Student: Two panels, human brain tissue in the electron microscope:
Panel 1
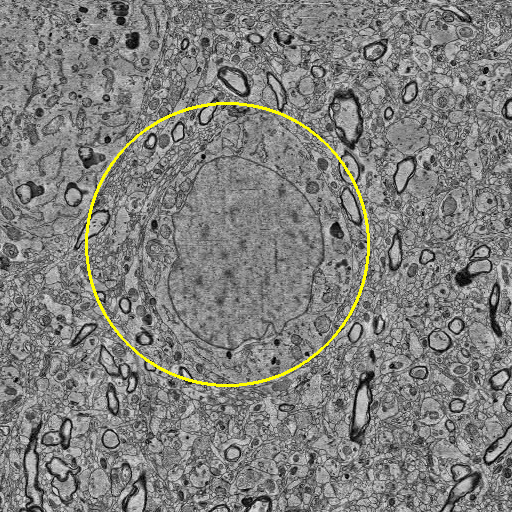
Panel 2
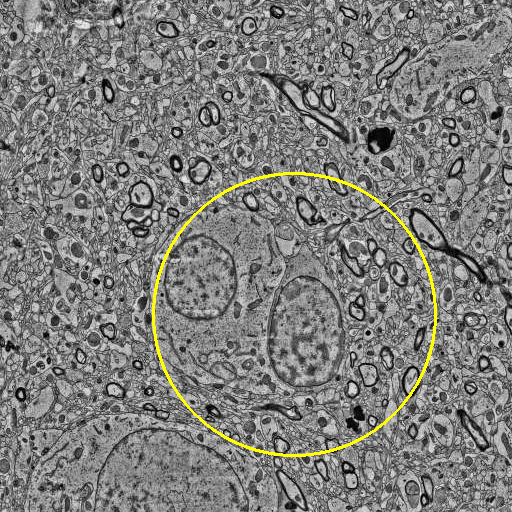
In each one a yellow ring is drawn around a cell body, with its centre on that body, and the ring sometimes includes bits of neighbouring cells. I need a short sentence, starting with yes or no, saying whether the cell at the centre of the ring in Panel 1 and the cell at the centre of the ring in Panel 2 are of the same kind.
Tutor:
No, they are two kinds of cell.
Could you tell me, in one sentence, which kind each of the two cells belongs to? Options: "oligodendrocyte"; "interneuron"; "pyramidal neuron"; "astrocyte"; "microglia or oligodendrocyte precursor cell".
At the centre of the first ring sits a pyramidal neuron, and at the centre of the second sits an oligodendrocyte.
